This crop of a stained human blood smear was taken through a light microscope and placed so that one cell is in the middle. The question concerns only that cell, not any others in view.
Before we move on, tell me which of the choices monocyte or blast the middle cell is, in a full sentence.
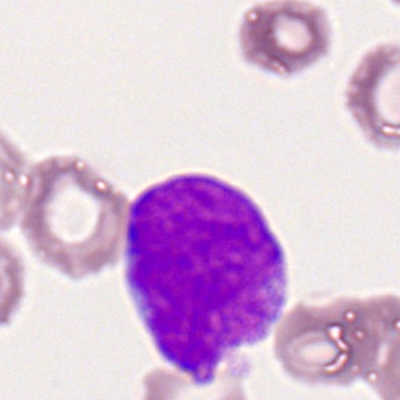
This crop has a blast at its centre.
